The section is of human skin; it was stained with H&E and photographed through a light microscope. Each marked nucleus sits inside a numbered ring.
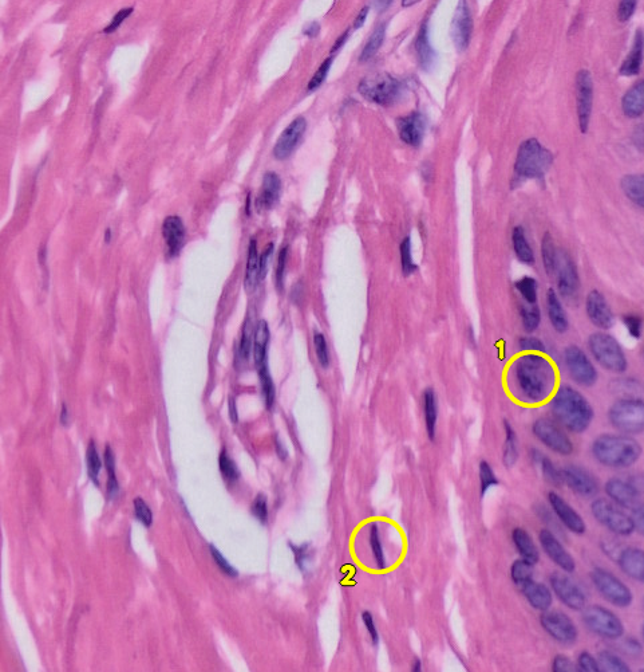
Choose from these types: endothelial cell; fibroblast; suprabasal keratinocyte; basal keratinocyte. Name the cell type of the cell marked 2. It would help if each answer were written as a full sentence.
The one labeled 2 is a fibroblast, to put it simply.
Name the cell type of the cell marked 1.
The cell bearing label 1 corresponds to a basal keratinocyte.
